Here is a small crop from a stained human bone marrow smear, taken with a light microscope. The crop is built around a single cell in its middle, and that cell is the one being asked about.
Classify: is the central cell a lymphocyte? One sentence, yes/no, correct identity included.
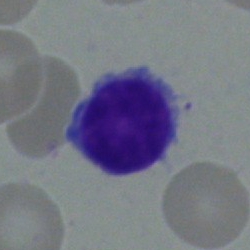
Yes, the central cell of this crop corresponds to a lymphocyte.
